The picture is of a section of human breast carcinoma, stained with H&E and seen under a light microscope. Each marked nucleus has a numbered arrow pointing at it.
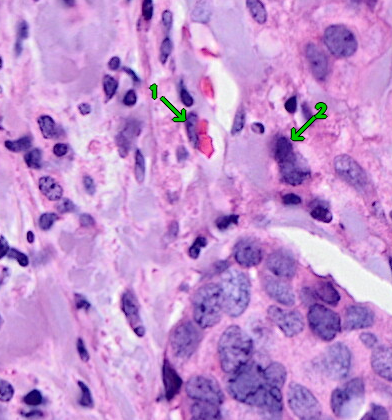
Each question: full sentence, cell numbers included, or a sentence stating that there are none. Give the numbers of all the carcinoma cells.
Only nucleus 2 belongs to a carcinoma cell; the other numbered nuclei do not.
